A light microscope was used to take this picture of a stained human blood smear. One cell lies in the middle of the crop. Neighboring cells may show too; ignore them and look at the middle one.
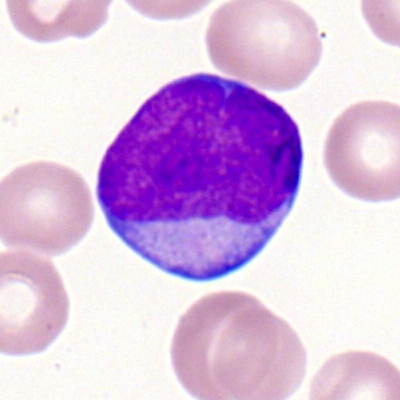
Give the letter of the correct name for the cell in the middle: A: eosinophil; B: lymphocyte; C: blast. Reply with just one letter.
C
